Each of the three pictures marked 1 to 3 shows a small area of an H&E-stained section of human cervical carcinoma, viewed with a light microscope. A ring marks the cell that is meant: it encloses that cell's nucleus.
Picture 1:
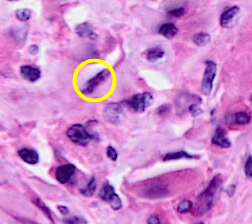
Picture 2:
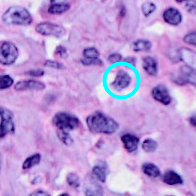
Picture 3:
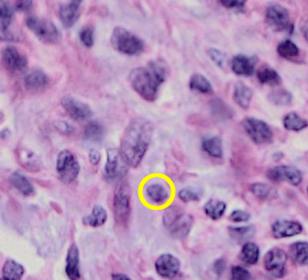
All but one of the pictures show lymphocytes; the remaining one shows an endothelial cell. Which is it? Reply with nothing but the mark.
1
